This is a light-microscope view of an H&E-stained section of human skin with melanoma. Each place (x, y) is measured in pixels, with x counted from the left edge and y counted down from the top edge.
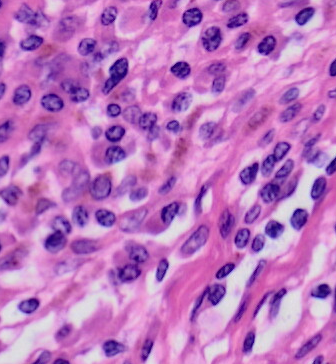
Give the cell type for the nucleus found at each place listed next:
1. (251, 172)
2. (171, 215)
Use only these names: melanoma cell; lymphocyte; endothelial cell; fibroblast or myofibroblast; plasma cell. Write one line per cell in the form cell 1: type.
cell 1: lymphocyte
cell 2: plasma cell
